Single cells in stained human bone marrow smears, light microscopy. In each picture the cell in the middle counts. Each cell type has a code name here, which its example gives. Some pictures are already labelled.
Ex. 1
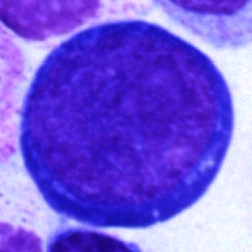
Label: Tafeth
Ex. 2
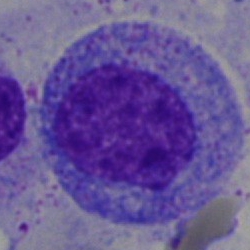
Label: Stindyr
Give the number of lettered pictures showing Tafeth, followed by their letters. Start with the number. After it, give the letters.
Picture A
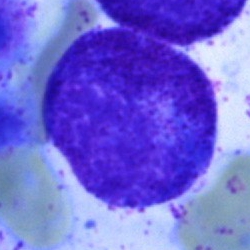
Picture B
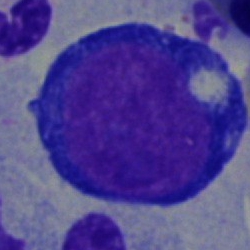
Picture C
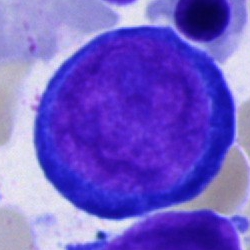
2, namely B, C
